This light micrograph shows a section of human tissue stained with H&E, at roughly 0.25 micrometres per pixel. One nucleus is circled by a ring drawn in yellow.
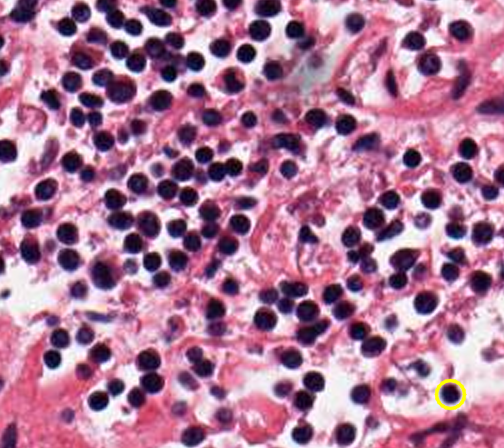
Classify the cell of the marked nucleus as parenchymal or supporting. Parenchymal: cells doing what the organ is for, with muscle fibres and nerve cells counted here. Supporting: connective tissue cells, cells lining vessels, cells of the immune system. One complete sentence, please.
A supporting cell is the cell whose nucleus is marked.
